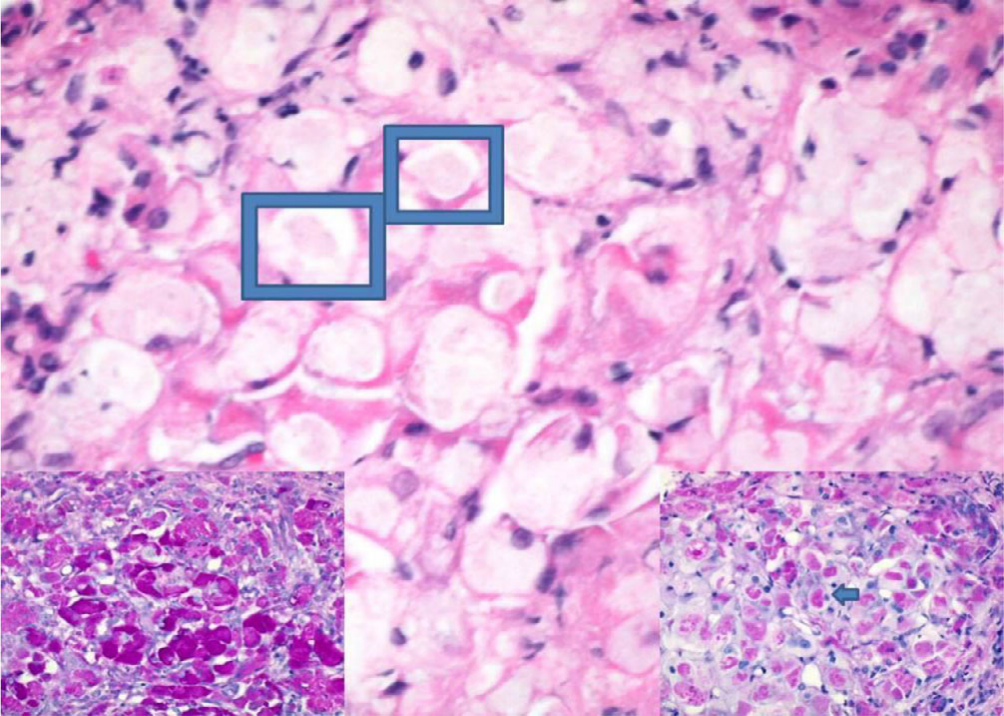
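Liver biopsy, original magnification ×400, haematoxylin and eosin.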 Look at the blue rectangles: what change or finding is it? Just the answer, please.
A: ill‐defined pale inclusions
